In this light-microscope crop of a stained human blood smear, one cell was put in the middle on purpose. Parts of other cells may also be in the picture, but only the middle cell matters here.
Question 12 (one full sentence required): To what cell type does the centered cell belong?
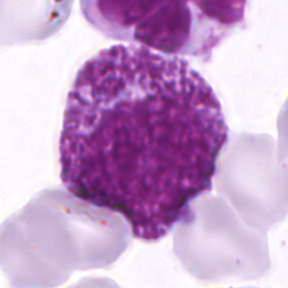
The crop centres on a single cell, and that cell is a myelocyte.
